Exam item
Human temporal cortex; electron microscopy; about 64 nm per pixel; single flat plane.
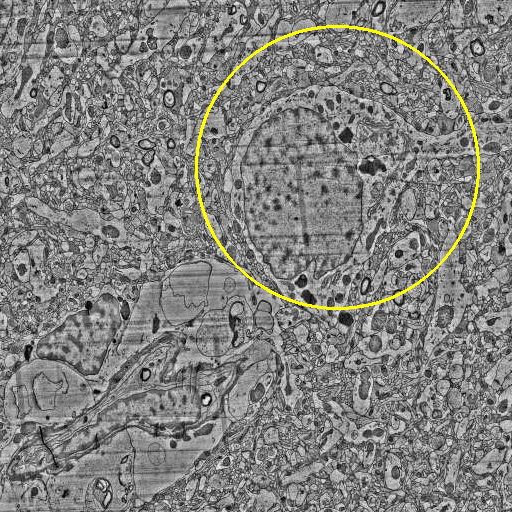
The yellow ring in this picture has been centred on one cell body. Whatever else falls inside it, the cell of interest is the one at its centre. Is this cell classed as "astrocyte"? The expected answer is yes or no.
no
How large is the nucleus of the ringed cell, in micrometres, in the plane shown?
The nucleus is approximately 11 micrometers long by 8 micrometers wide in this plane.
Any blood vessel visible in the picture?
Yes, a vessel shows somewhere in the image.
